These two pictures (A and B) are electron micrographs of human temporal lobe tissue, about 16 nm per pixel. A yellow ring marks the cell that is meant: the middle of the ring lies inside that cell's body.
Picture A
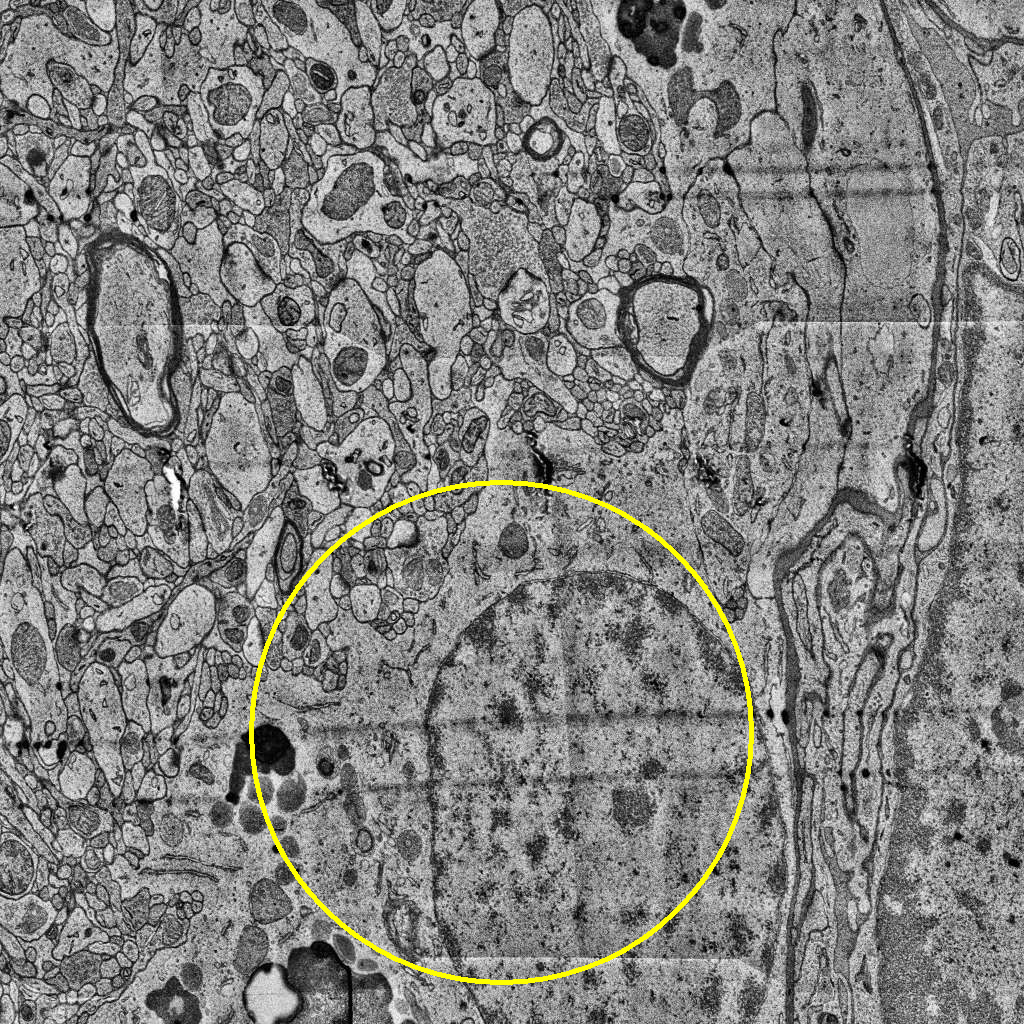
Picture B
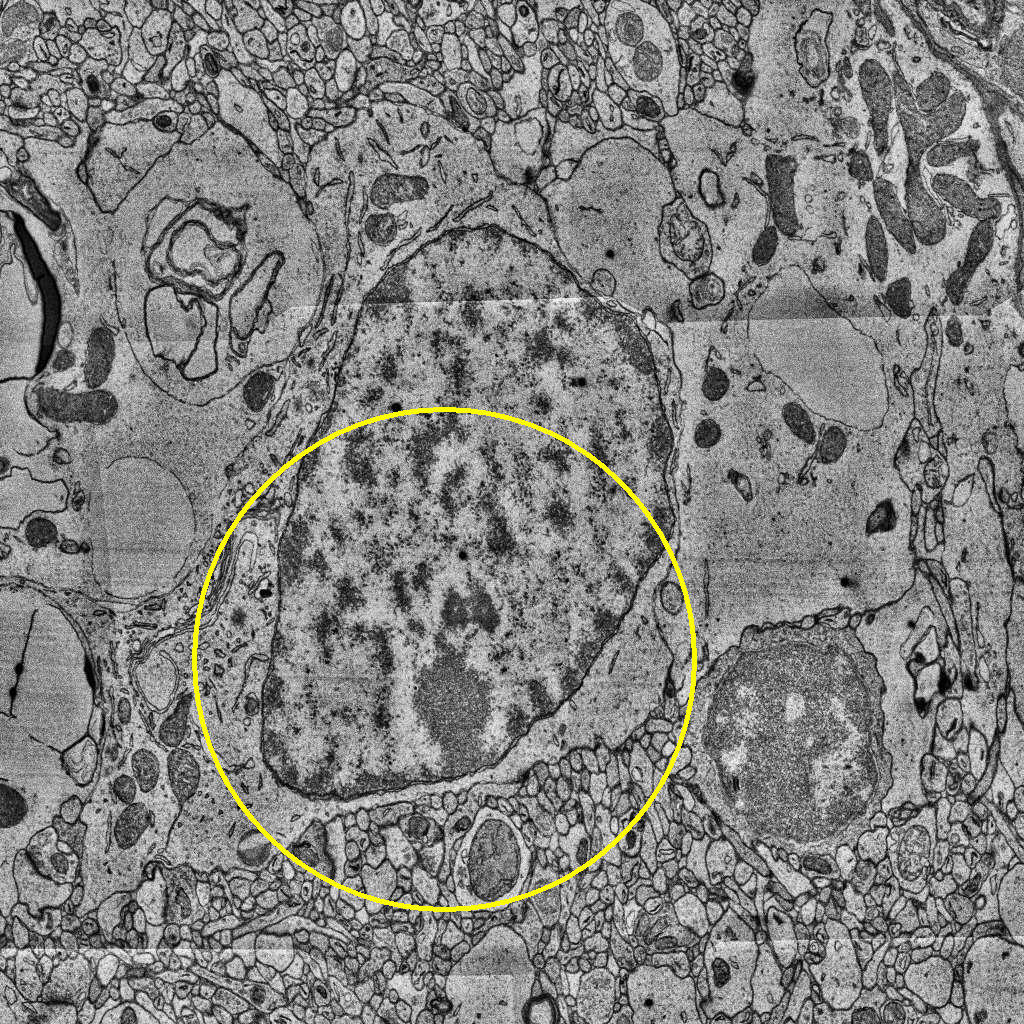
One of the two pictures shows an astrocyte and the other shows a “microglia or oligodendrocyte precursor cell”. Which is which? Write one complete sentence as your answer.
The cell in picture A is an astrocyte, and the one in picture B is a “microglia or oligodendrocyte precursor cell”.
